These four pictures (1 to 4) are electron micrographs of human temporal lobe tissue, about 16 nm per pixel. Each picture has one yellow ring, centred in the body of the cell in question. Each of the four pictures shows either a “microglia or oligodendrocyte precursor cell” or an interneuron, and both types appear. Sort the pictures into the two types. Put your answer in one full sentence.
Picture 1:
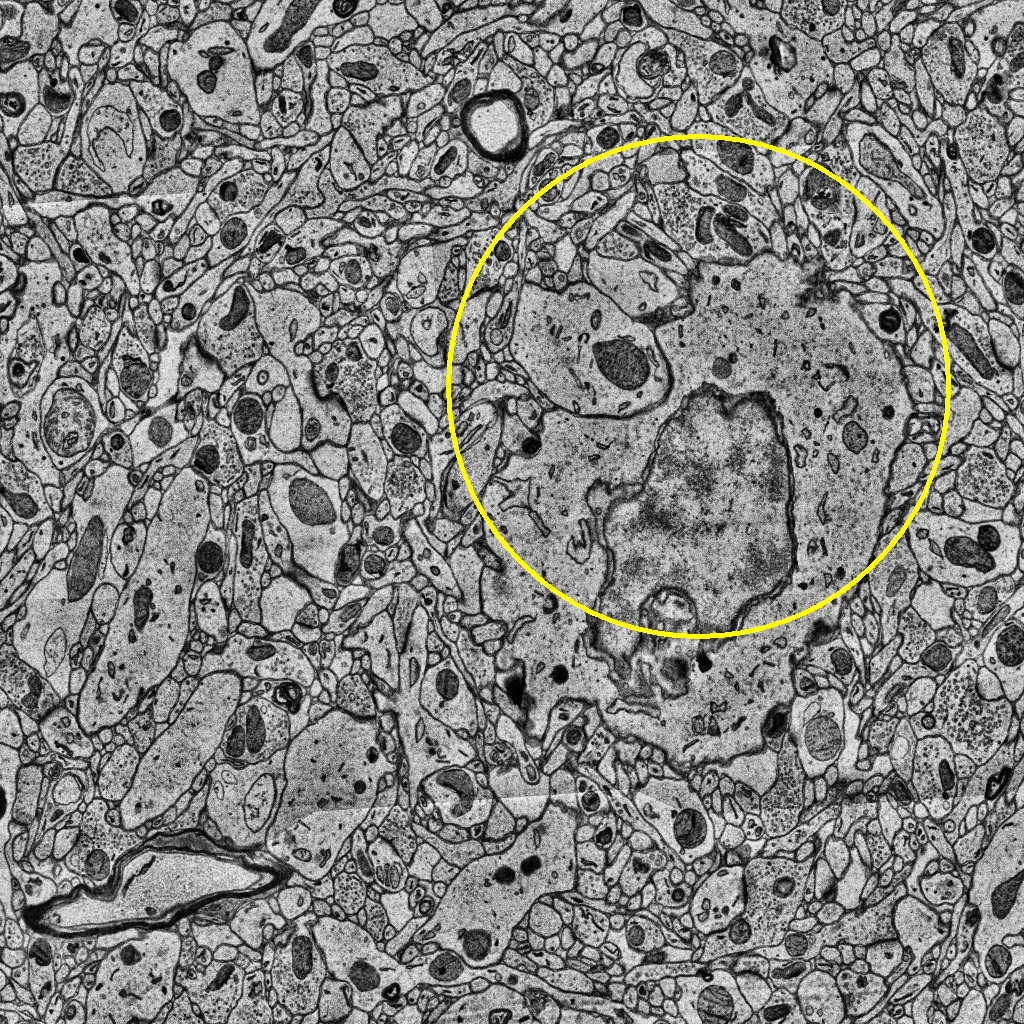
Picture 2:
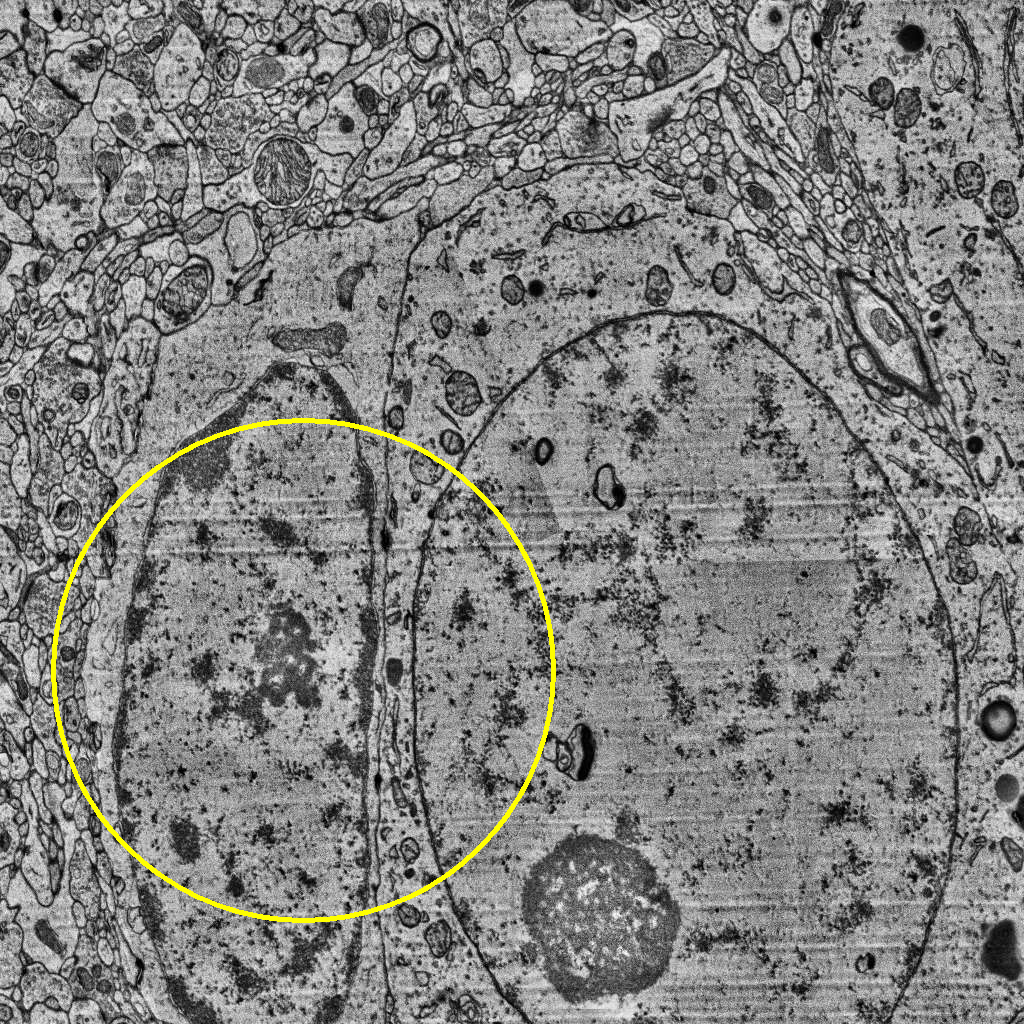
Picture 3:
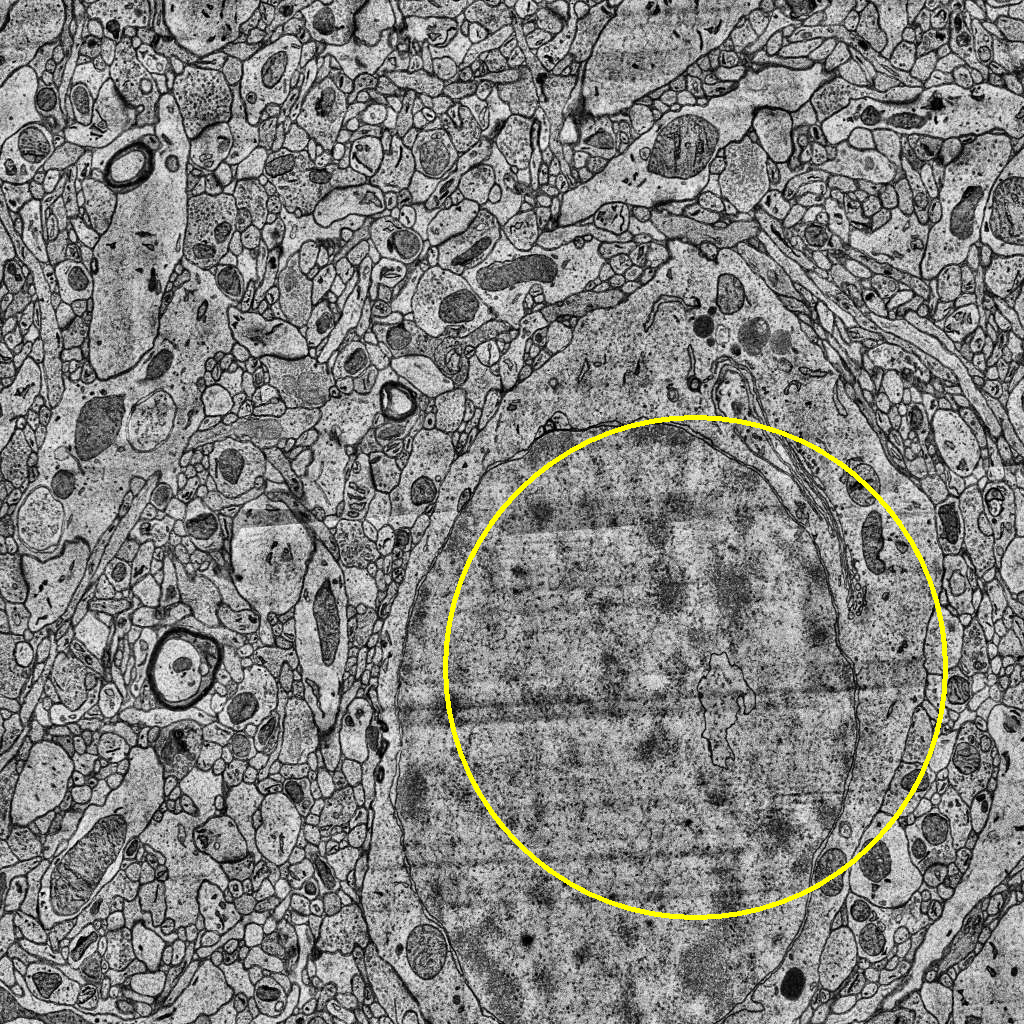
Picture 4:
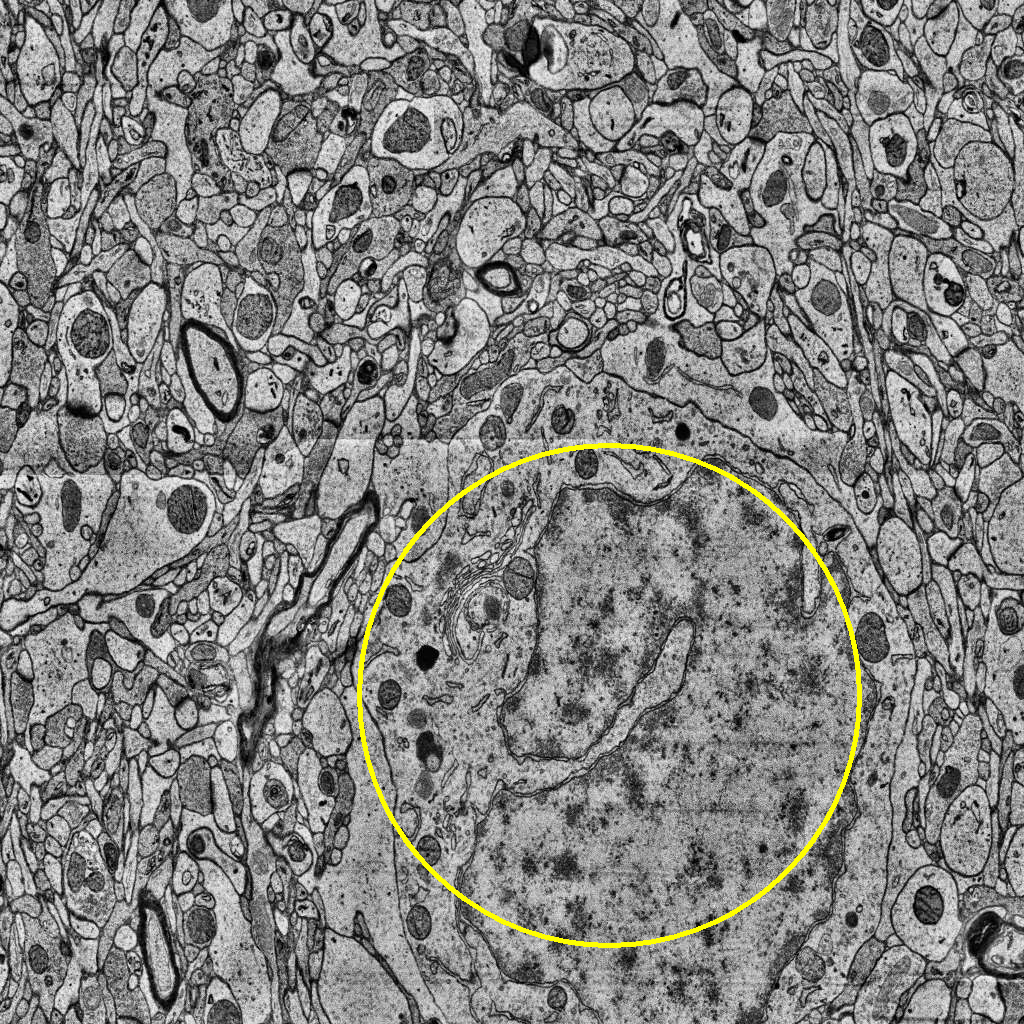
Picture 2 shows a “microglia or oligodendrocyte precursor cell”, and pictures 1, 3 and 4 show interneurons.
